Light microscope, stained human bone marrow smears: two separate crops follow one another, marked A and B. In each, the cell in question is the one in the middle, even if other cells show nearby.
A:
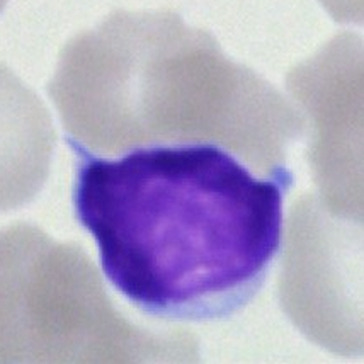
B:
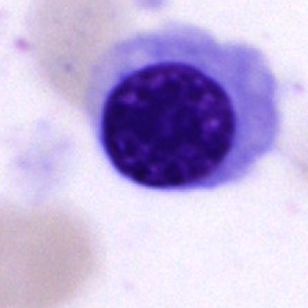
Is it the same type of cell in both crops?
no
